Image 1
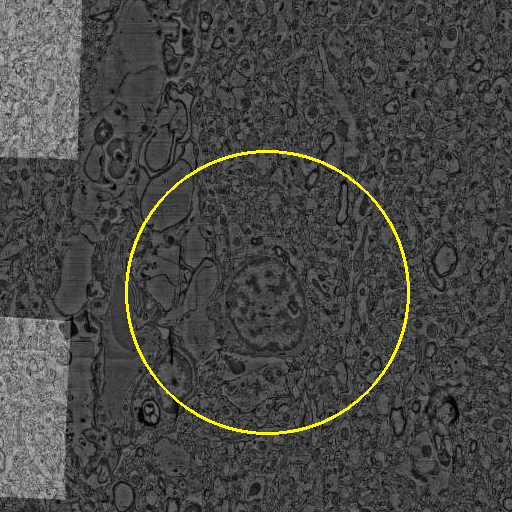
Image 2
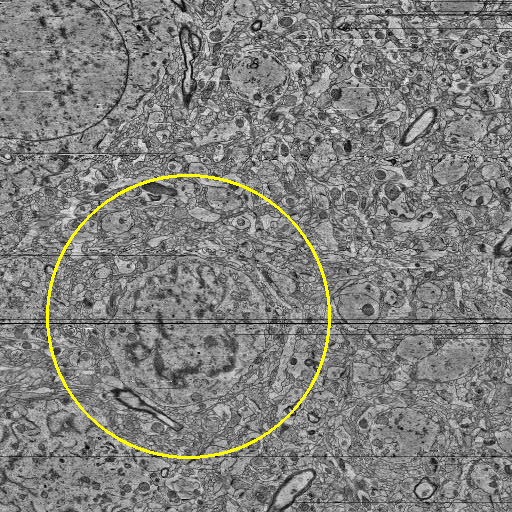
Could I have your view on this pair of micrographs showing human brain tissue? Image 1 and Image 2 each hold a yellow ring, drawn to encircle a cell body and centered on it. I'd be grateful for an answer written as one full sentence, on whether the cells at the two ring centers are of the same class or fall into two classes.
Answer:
The cells at the centers of the two rings fall into two classes.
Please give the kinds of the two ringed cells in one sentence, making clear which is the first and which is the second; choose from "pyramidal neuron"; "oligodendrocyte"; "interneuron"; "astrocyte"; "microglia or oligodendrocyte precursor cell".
In the second picture the ringed cell is an interneuron; in the first it is an oligodendrocyte.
